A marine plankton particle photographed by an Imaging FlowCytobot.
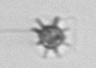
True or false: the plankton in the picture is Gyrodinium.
False; it is Rhabdosphaera.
